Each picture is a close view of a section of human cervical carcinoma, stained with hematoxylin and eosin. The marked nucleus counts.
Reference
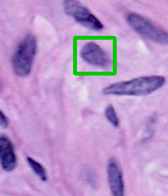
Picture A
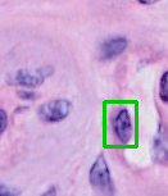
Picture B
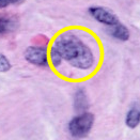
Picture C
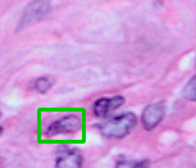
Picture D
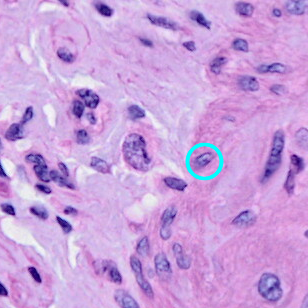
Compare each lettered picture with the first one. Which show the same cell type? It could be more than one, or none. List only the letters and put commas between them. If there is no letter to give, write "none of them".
none of them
